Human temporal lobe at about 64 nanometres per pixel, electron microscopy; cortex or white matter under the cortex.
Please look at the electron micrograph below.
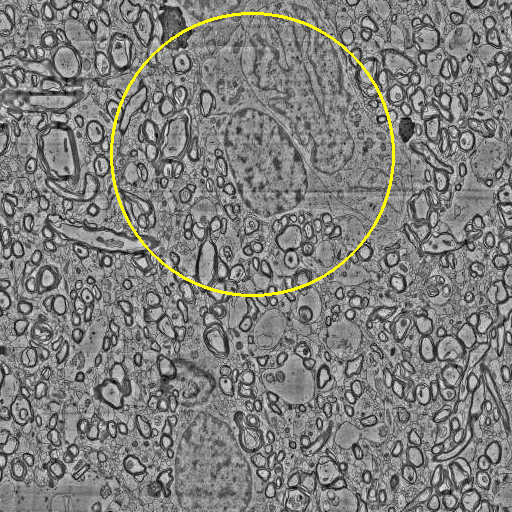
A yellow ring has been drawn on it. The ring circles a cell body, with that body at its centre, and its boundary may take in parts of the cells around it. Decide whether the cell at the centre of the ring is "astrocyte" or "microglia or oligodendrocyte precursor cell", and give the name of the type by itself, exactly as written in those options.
microglia or oligodendrocyte precursor cell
